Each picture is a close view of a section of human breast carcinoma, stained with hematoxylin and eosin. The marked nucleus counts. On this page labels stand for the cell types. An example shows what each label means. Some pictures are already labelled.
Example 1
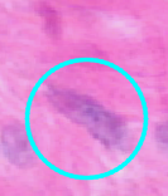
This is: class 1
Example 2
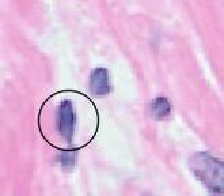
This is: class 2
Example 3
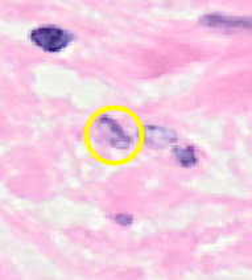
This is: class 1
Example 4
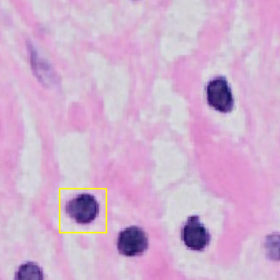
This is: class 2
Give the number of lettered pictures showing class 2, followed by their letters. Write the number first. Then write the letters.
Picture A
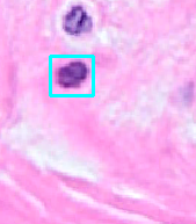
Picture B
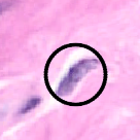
1: A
